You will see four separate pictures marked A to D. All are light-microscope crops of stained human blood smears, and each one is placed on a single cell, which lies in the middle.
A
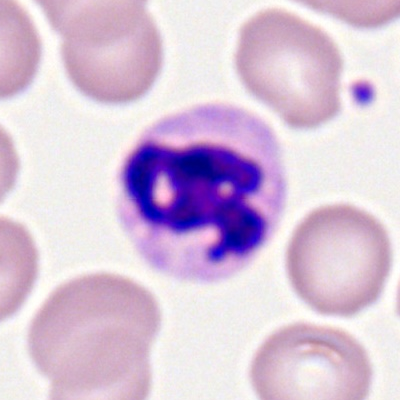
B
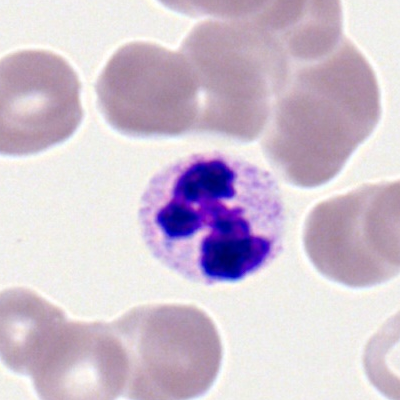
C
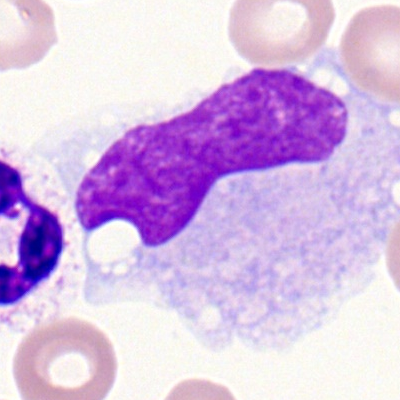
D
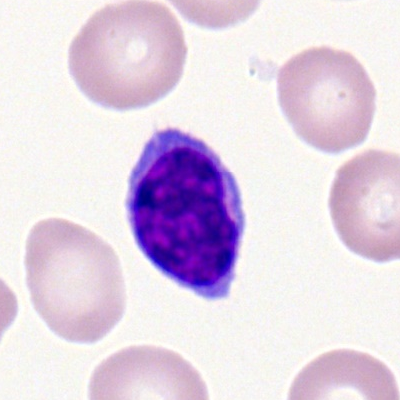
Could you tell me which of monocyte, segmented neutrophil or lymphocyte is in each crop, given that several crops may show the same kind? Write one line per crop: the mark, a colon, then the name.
A: segmented neutrophil
B: segmented neutrophil
C: monocyte
D: lymphocyte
